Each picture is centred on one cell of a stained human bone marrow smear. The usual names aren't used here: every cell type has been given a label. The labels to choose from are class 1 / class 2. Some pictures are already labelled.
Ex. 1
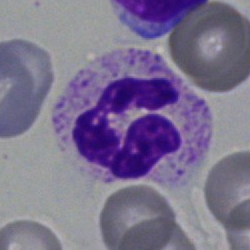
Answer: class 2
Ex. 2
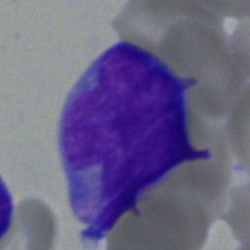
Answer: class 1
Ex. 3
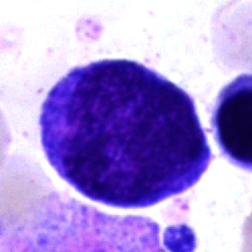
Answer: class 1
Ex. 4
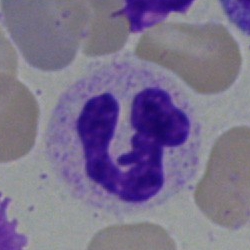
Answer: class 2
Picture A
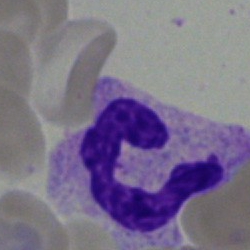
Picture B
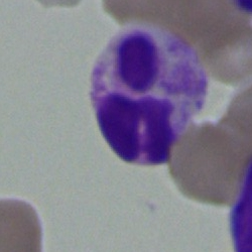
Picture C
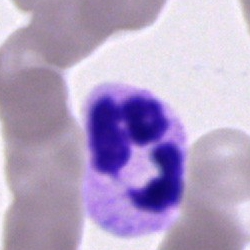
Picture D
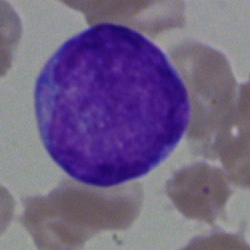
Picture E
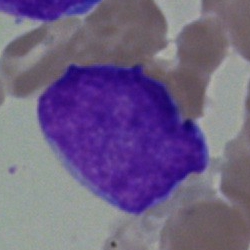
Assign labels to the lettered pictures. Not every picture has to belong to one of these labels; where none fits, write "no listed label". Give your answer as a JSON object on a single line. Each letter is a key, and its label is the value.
{"A": "class 2", "B": "class 2", "C": "class 2", "D": "class 1", "E": "class 1"}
